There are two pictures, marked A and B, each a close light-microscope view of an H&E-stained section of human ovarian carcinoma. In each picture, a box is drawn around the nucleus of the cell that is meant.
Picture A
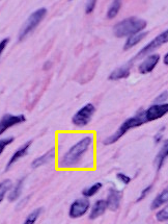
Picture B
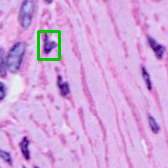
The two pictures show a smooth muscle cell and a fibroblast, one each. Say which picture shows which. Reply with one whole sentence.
Picture A is of a smooth muscle cell, and picture B is of a fibroblast.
